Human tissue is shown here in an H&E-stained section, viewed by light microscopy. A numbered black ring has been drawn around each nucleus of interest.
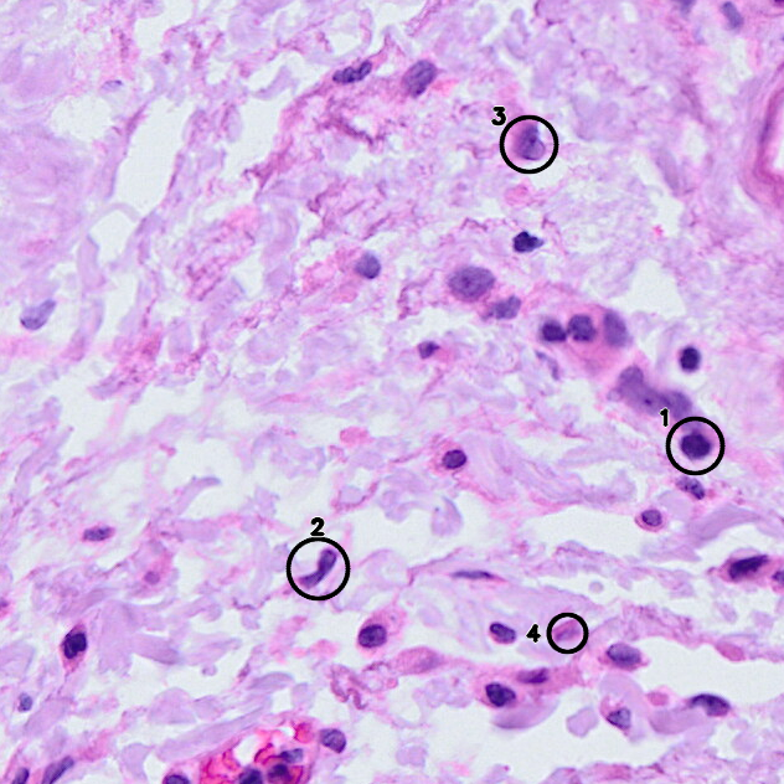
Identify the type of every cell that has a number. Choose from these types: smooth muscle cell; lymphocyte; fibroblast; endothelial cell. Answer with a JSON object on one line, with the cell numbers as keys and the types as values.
{"1": "lymphocyte", "2": "fibroblast", "3": "fibroblast", "4": "fibroblast"}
